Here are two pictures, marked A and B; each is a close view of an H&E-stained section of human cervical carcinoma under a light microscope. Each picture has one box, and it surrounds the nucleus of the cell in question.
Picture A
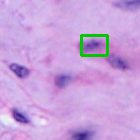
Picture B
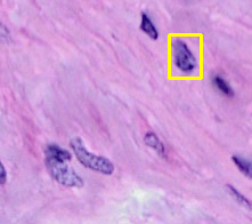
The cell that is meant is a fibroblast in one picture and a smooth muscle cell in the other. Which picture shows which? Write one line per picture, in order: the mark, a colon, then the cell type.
A: smooth muscle cell
B: fibroblast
